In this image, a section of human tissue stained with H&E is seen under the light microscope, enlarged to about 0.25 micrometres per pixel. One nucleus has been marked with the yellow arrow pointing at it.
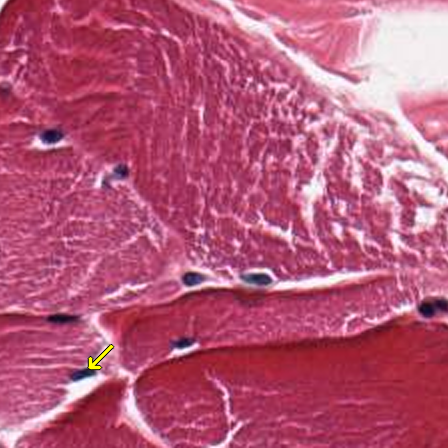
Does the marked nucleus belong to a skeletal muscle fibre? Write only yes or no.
yes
